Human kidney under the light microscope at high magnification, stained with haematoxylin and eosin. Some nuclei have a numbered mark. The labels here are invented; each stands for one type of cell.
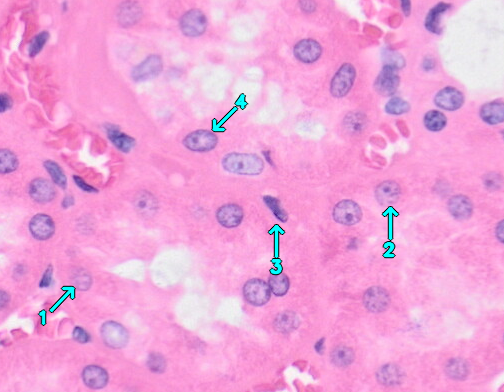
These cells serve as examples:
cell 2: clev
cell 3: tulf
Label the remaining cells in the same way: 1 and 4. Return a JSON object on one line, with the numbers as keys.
{"1": "clev", "4": "clev"}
